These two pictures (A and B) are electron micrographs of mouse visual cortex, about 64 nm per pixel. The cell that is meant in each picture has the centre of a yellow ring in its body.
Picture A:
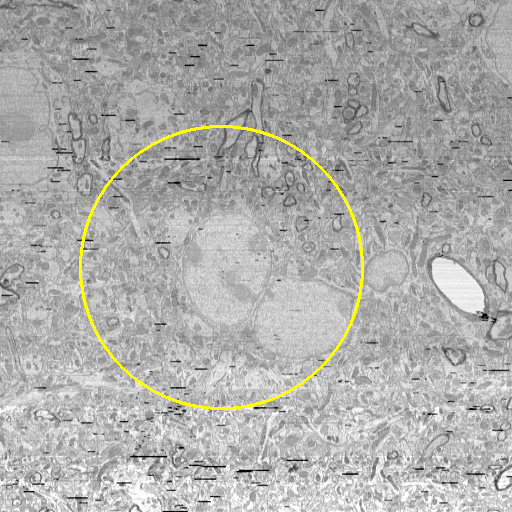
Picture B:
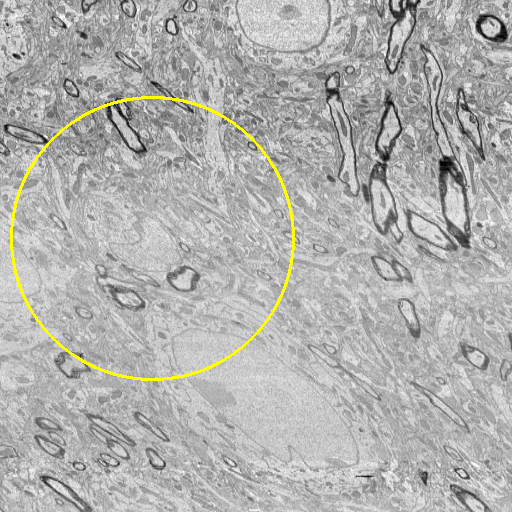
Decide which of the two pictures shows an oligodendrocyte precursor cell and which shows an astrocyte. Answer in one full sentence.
The cell in picture A is an astrocyte, and the one in picture B is an oligodendrocyte precursor cell.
